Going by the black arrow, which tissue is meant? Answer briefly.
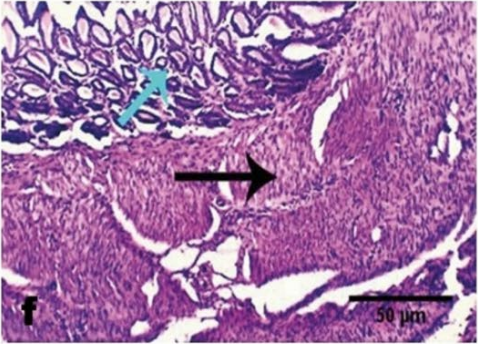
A: Muscular coats.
